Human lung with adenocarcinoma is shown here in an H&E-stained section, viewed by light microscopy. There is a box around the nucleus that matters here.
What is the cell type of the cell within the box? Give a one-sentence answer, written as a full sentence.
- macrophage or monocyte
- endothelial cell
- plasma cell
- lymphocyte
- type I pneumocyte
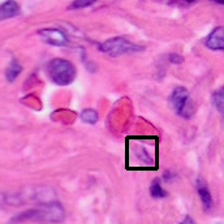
In this tissue sample, the cell within the box is an endothelial cell.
